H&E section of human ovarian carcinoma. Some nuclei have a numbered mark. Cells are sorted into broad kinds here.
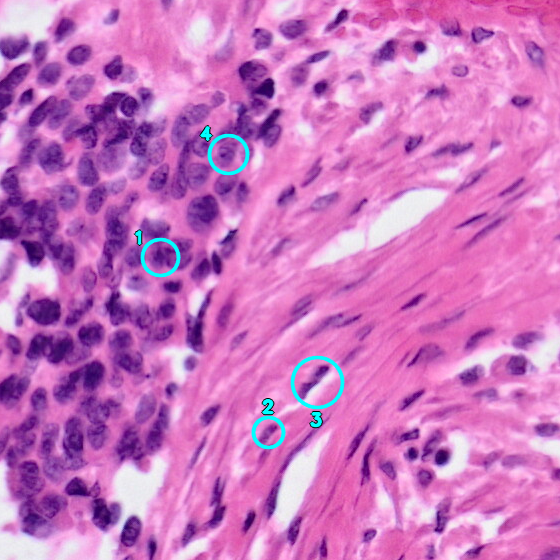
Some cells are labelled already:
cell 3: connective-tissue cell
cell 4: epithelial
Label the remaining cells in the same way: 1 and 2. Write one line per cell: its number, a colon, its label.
1: epithelial
2: connective-tissue cell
